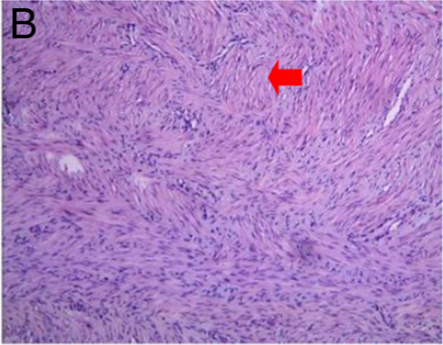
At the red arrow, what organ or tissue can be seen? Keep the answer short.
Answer: Smooth muscle tissue.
